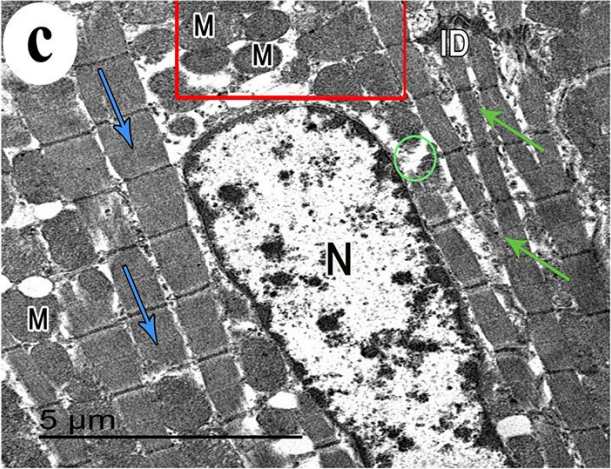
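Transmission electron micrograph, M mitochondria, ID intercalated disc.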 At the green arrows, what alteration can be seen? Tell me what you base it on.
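Attenuated myofibrils. The arrows point to thin striated bundles. These bundles are narrower than the thick myofibrils on the left of the nucleus. Pale gaps separate the thin bundles.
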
